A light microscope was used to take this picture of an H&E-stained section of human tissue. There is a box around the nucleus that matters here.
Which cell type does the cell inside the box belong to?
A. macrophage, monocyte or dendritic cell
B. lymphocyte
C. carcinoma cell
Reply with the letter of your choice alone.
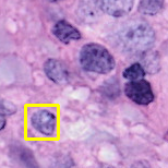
A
